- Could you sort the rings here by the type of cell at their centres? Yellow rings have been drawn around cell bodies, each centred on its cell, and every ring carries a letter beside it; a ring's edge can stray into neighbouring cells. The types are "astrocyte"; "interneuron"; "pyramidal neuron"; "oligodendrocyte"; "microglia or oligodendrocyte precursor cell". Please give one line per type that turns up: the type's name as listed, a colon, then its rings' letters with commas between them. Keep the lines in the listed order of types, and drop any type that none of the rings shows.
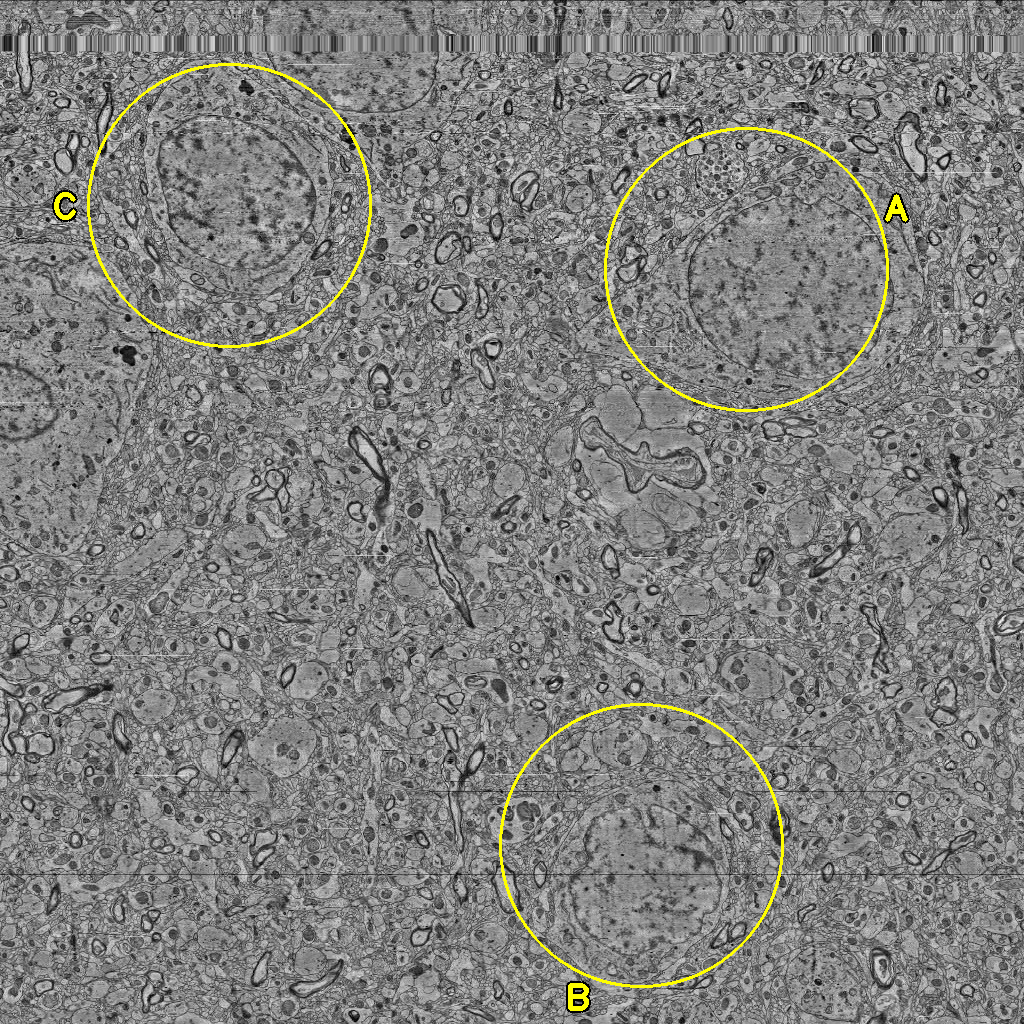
interneuron: B, C
pyramidal neuron: A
